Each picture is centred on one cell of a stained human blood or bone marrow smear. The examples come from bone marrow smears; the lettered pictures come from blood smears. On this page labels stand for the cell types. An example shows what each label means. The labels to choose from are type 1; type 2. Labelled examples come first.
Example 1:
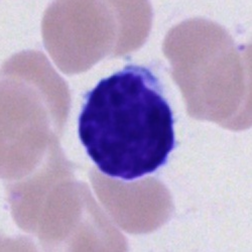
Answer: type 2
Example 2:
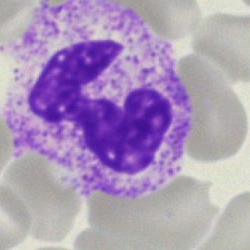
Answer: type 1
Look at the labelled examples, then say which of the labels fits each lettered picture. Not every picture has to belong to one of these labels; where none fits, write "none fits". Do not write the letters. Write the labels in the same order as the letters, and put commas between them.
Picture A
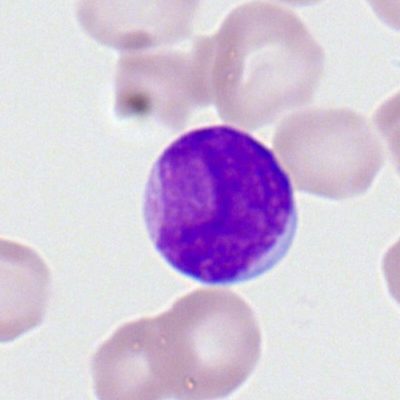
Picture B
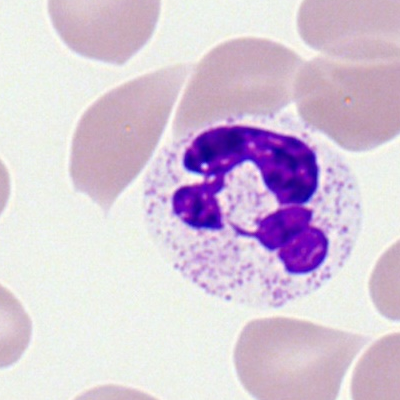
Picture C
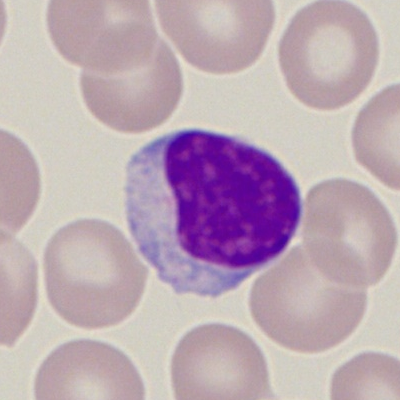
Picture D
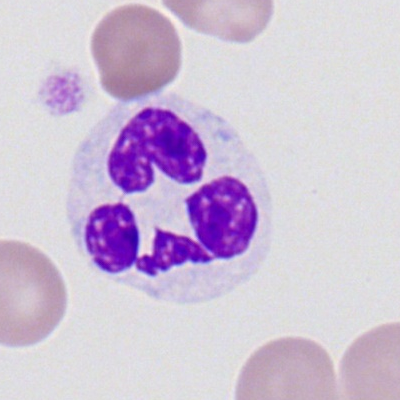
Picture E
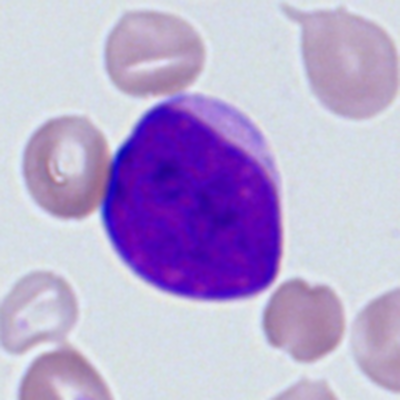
none fits, type 1, type 2, type 1, none fits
